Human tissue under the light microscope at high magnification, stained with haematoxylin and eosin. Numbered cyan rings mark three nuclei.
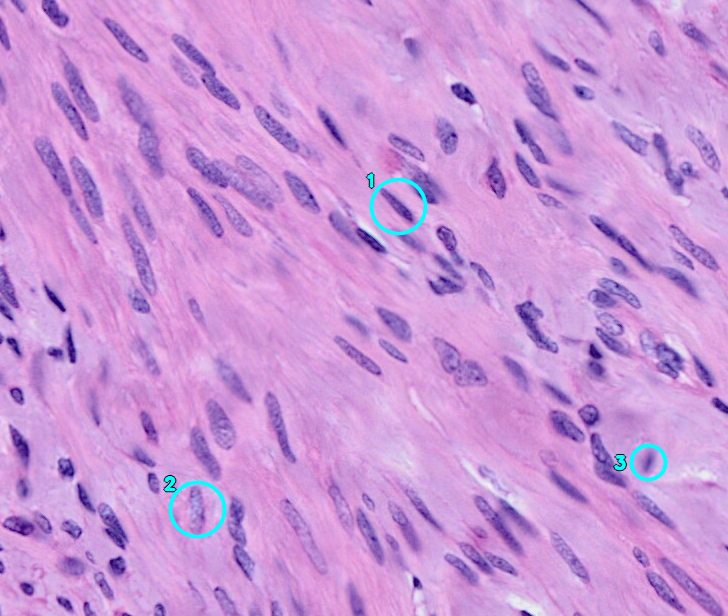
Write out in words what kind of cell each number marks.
Cell 1 is a fibroblast, cell 2 is a smooth muscle cell and cell 3 is a fibroblast.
